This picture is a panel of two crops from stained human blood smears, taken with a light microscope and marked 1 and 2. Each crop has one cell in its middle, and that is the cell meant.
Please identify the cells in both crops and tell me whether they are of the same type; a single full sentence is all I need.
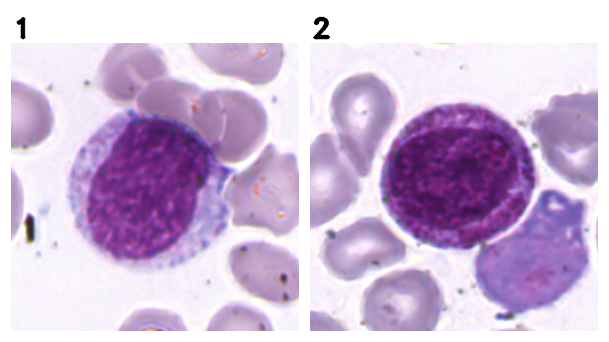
Yes, myelocytes lie at the centre of both crops.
